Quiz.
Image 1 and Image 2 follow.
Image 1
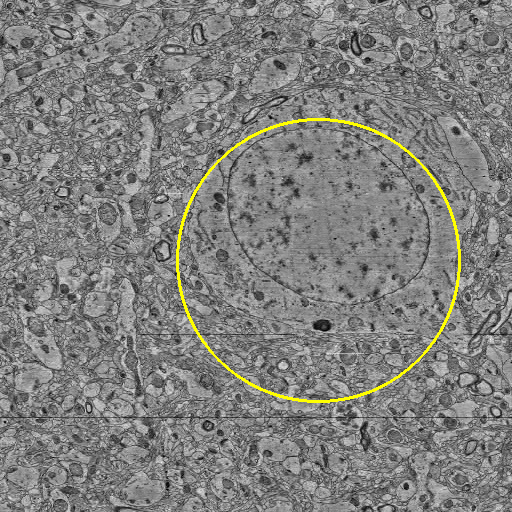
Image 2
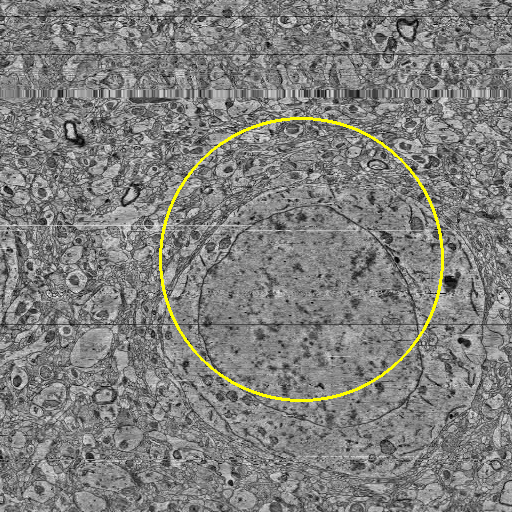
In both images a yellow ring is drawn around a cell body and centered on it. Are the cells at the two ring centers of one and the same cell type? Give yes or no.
yes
